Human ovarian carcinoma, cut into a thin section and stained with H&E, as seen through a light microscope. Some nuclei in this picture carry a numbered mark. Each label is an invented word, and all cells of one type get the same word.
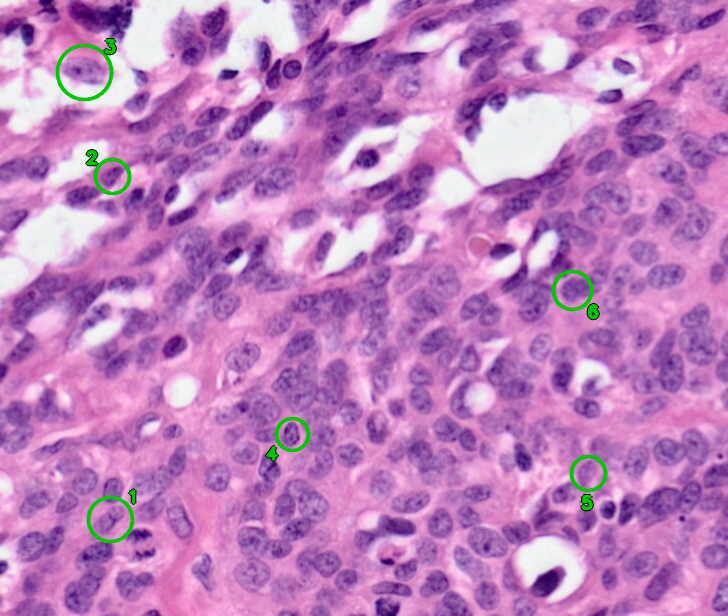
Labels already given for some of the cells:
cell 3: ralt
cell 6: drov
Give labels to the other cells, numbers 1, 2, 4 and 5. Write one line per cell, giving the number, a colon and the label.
1: drov
2: ralt
4: ralt
5: drov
